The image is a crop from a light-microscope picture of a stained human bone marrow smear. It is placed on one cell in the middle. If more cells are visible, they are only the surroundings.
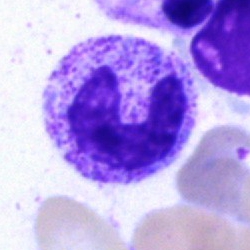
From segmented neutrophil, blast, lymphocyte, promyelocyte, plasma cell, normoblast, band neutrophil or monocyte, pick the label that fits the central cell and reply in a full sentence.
Where the crop is centred, there is a band neutrophil.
